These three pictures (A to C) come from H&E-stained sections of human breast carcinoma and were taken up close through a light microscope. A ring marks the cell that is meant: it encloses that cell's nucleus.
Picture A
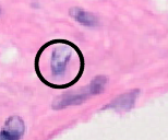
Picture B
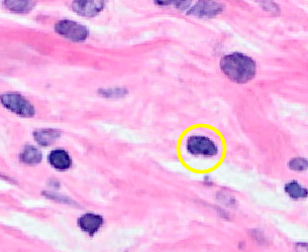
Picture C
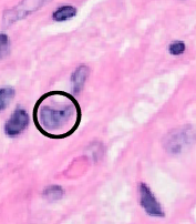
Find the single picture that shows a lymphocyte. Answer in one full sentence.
Picture B shows the lymphocyte.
